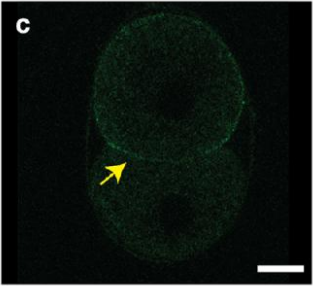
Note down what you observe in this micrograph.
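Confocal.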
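A two-cell embryo sits inside an oval eggshell, the two rounded cells stacked one above the other. Faint speckled green fills the cytoplasm of both cells, with darker round areas inside each, and a brighter green line marks the membrane where the two cells meet.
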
